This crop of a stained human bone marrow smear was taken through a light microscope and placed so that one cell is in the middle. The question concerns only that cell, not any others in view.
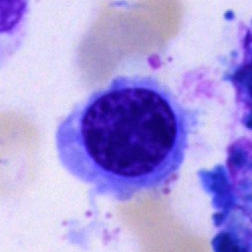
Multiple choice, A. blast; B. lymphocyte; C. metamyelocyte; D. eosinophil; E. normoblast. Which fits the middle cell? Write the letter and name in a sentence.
The correct identification, given in option E, is that the central cell is a normoblast.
